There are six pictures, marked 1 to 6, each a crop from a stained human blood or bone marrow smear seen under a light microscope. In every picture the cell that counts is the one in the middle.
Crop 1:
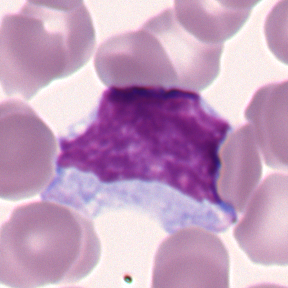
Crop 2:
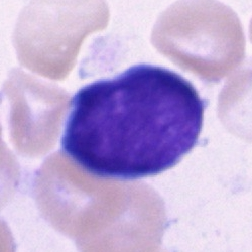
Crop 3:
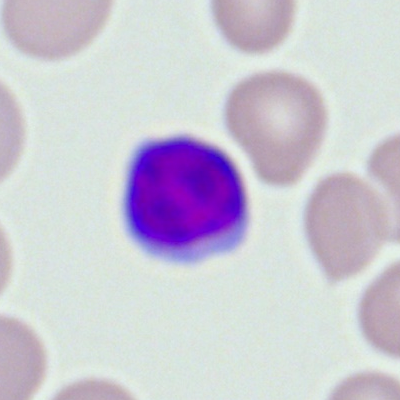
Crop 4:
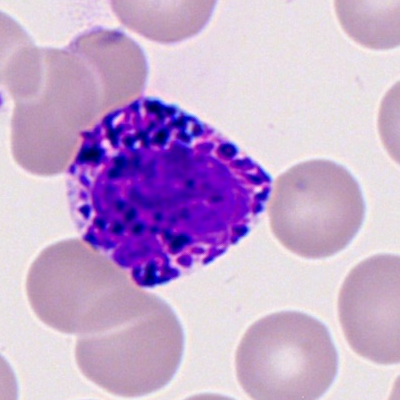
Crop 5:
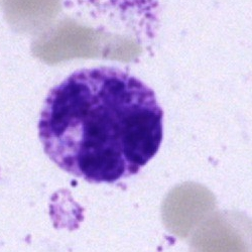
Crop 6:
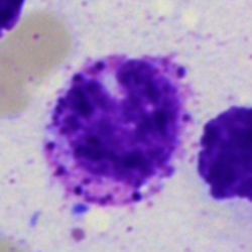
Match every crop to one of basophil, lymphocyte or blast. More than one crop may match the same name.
1: lymphocyte
2: blast
3: lymphocyte
4: basophil
5: basophil
6: basophil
